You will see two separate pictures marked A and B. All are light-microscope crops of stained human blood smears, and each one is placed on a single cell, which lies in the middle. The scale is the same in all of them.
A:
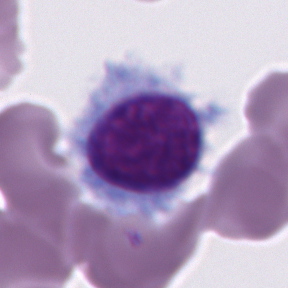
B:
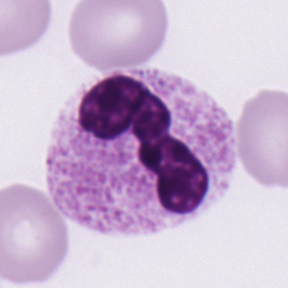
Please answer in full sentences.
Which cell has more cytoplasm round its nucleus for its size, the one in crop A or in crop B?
It is the cell in crop B that is filled less by its nucleus.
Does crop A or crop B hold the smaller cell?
It is the cell in crop A; the cell in crop B has about 1.5 times its area.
